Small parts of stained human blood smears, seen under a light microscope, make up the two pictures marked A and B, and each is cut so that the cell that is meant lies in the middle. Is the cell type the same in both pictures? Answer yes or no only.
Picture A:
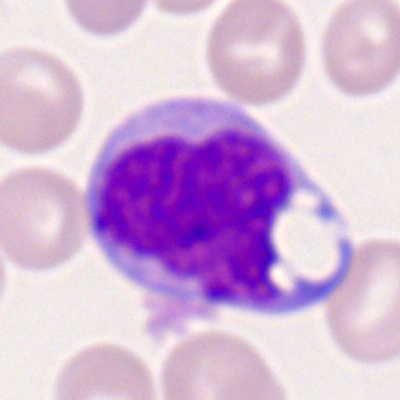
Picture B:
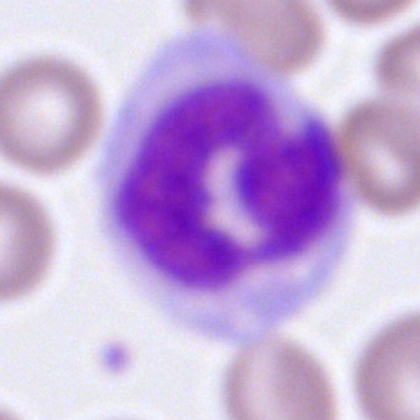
yes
